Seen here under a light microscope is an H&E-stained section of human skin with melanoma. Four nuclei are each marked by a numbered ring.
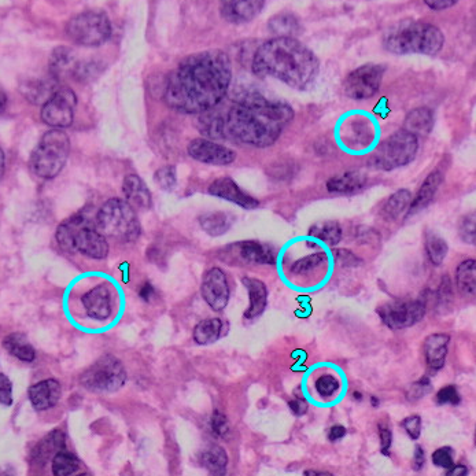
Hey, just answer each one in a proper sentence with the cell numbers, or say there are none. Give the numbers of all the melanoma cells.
Cells 1, 3 and 4 are melanoma cells by cell type.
